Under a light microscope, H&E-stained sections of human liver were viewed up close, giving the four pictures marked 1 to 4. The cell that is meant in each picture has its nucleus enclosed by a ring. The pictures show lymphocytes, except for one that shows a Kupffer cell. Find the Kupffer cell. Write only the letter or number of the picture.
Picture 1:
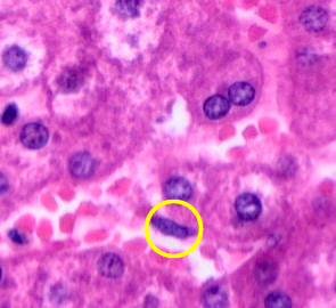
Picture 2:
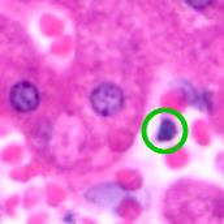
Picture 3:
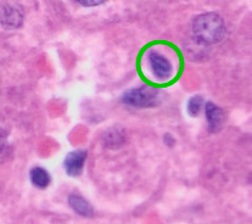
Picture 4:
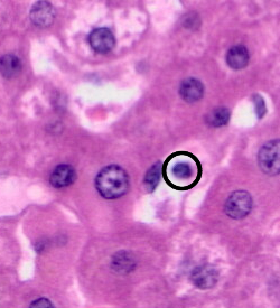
1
